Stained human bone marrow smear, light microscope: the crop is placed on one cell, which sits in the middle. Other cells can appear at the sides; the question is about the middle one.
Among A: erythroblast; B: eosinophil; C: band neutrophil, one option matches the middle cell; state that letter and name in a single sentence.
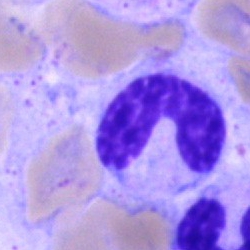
The best answer is option C, since the cell in the middle is a band neutrophil.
